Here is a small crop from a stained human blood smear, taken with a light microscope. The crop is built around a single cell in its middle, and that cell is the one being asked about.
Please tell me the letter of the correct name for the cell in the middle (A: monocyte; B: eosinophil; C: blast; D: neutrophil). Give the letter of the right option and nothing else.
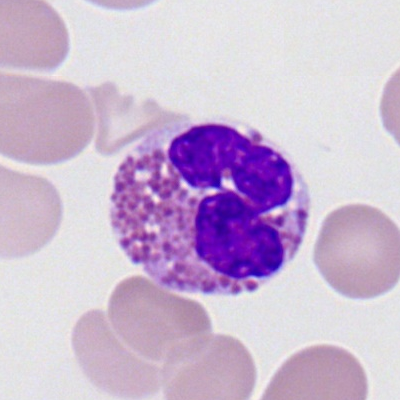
B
